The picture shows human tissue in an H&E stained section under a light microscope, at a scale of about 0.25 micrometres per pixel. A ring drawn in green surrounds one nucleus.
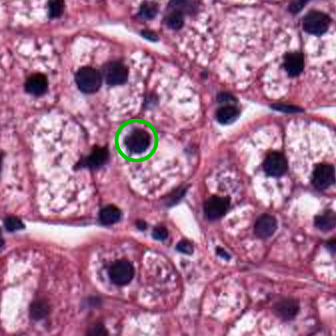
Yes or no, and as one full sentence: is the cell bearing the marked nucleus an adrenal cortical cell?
Yes, the marked nucleus, in this picture, is that of an adrenal cortical cell.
